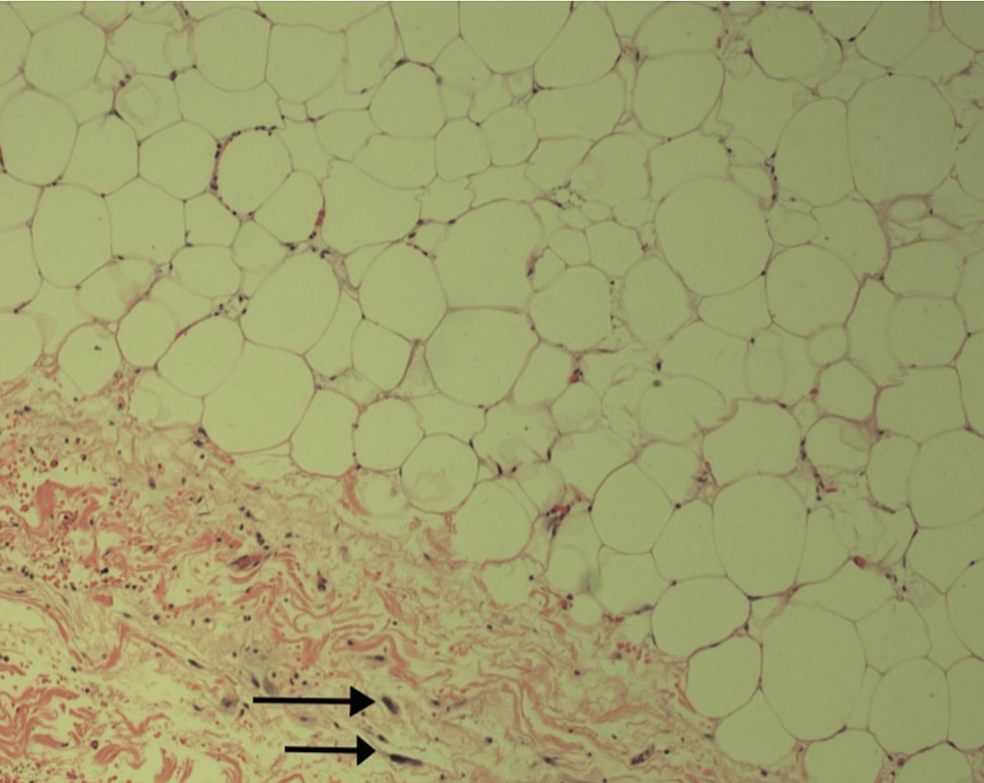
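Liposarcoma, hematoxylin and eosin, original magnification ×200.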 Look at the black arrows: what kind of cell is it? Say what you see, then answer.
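The arrowed cells have dark, deeply stained, elongated nuclei. These nuclei are larger and darker than the other nuclei around them. The arrowed cells lie singly in the pink fibrous stroma below the fat.
Conclusion: atypical cells with hyperchromatic nuclei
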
